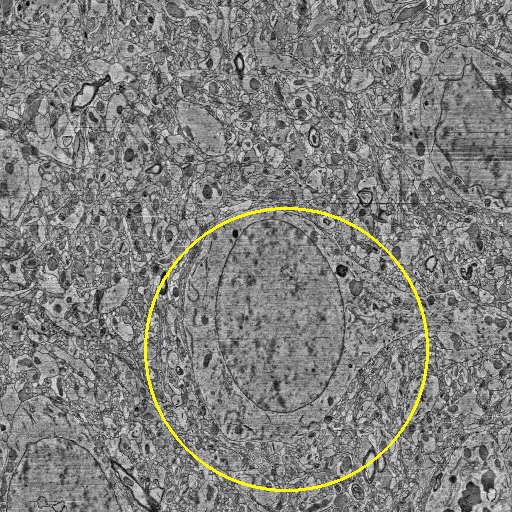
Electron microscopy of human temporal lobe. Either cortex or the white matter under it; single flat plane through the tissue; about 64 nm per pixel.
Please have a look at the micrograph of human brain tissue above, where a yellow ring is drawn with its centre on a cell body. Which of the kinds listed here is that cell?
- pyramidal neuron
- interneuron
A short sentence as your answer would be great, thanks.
At the centre of the ring sits a pyramidal neuron.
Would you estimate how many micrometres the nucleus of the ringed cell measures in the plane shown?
The nucleus is approximately 13 micrometres long but only about 8 wide, clearly longer than it is wide in this plane.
